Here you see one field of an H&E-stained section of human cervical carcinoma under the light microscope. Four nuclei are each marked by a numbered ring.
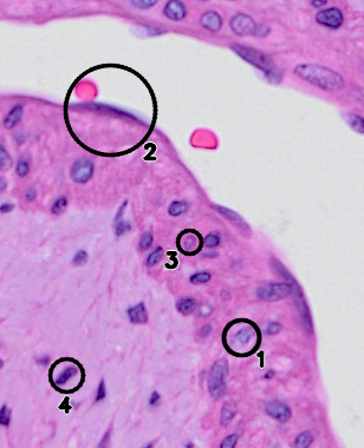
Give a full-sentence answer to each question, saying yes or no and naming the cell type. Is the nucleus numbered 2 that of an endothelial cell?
Yes, in this section the cell numbered 2 is an endothelial cell.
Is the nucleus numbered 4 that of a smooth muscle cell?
No, it is a fibroblast, not a smooth muscle cell, that number 4 marks.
